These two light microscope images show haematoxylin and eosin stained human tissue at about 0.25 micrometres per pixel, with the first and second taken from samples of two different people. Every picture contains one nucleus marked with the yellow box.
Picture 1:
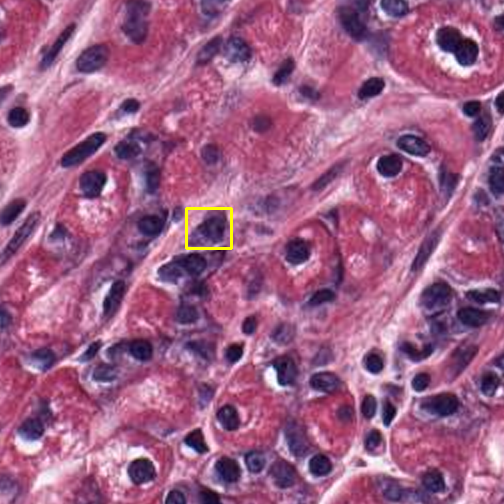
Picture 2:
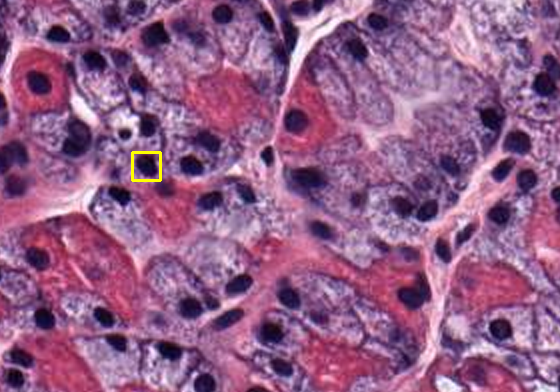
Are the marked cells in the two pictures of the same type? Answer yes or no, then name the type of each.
Yes, both are chief cells.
